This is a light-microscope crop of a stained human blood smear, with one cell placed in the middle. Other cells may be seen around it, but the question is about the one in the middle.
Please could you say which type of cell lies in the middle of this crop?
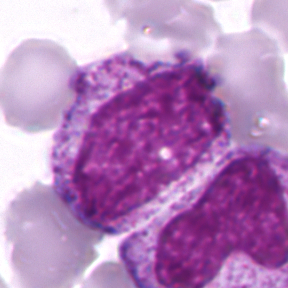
myelocyte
